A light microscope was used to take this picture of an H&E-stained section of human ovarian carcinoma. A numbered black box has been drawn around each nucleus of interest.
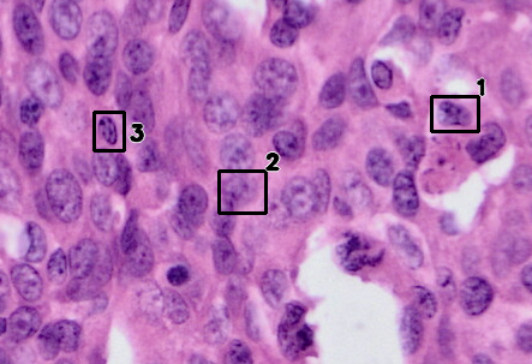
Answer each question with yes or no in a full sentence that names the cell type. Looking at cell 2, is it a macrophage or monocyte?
No, the cell under number 2 is a carcinoma cell instead of a macrophage or monocyte.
